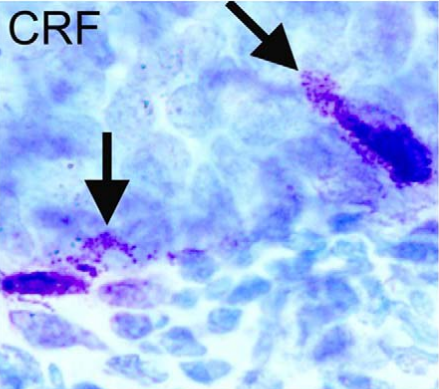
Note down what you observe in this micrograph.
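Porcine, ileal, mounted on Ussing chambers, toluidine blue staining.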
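This is intestinal tissue with mast cells, whose granules stain purple to magenta while the other cells' nuclei are pale blue. The mast cells here look elongated and ragged, and fine purple granules are spread outside them into the neighbouring tissue rather than held within a tidy cell outline.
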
